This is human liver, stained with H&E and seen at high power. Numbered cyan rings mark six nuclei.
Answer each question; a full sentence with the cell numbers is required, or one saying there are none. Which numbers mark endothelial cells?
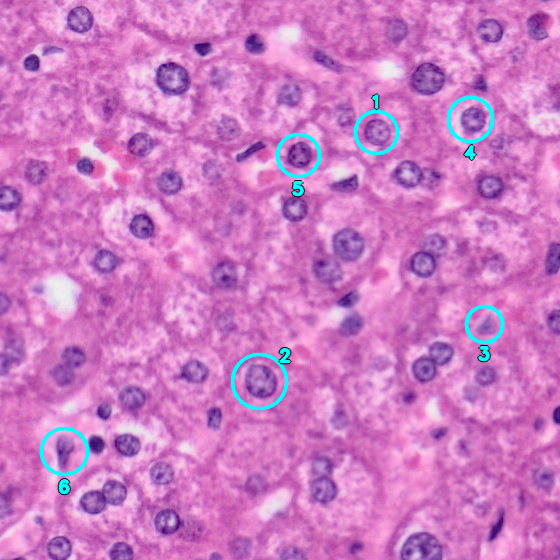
The numbered cells include exactly one that is an endothelial cell, which is cell 3.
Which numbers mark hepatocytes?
Classified as hepatocytes are the cells numbered 1, 2, 4 and 5.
